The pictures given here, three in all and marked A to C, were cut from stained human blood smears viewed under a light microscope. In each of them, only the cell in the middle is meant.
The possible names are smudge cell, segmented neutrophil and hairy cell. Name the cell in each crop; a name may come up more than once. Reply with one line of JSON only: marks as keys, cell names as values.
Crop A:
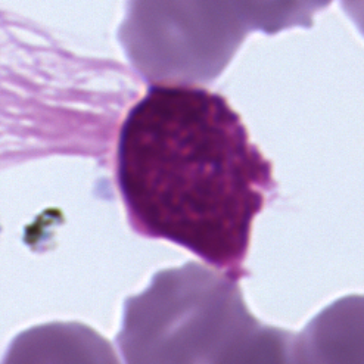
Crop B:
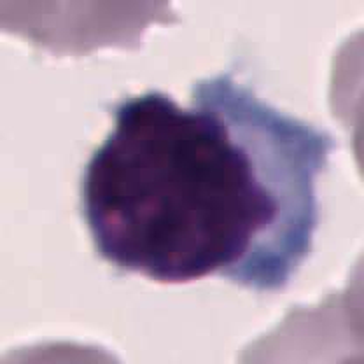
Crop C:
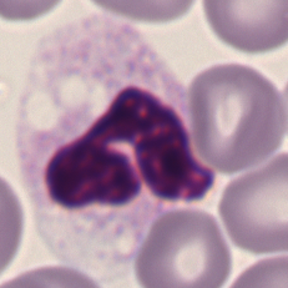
{"A": "smudge cell", "B": "hairy cell", "C": "segmented neutrophil"}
